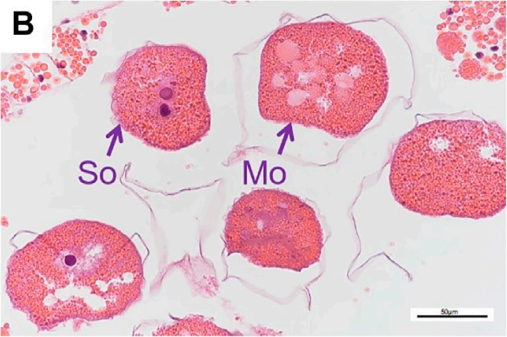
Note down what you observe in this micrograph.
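This section of ovary shows several large oocytes, each rounded to slightly irregular and filled with finely granular, deep pink cytoplasm. Some oocytes show a small dark purple nucleus with a darker dot within it, while others contain pale, clear vacuoles and no visible nucleus.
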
